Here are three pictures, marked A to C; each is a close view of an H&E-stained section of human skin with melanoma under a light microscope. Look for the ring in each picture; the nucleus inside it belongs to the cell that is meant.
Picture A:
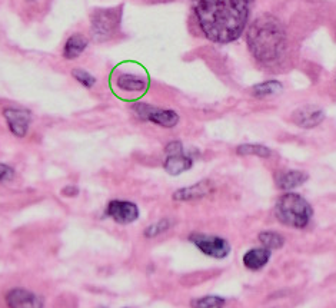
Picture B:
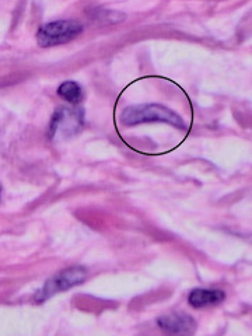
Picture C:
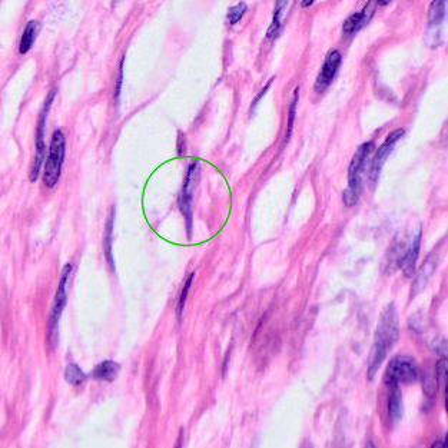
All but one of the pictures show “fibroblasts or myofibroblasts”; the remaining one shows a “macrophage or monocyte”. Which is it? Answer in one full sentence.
The cell in picture A is the “macrophage or monocyte”.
